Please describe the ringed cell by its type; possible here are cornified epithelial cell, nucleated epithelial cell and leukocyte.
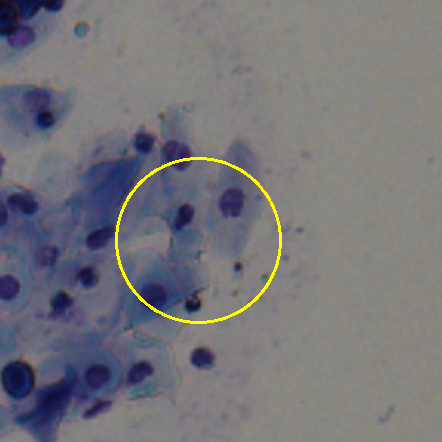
The yellow ring marks a nucleated epithelial cell.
